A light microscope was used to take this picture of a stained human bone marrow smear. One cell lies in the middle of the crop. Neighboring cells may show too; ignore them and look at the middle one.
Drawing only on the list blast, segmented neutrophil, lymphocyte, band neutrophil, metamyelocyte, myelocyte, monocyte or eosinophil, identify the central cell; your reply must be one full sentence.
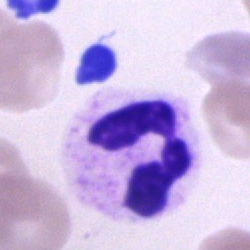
The centrally located cell in the crop is a segmented neutrophil.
